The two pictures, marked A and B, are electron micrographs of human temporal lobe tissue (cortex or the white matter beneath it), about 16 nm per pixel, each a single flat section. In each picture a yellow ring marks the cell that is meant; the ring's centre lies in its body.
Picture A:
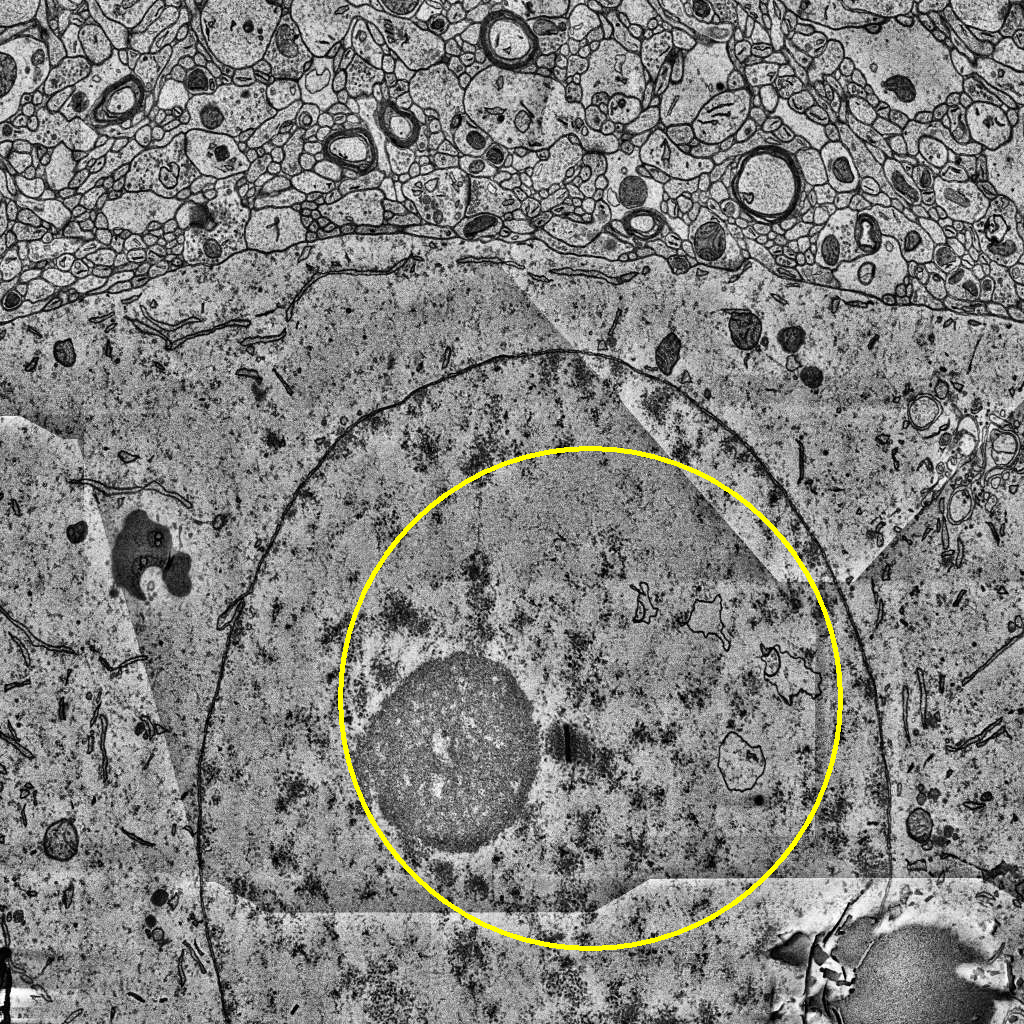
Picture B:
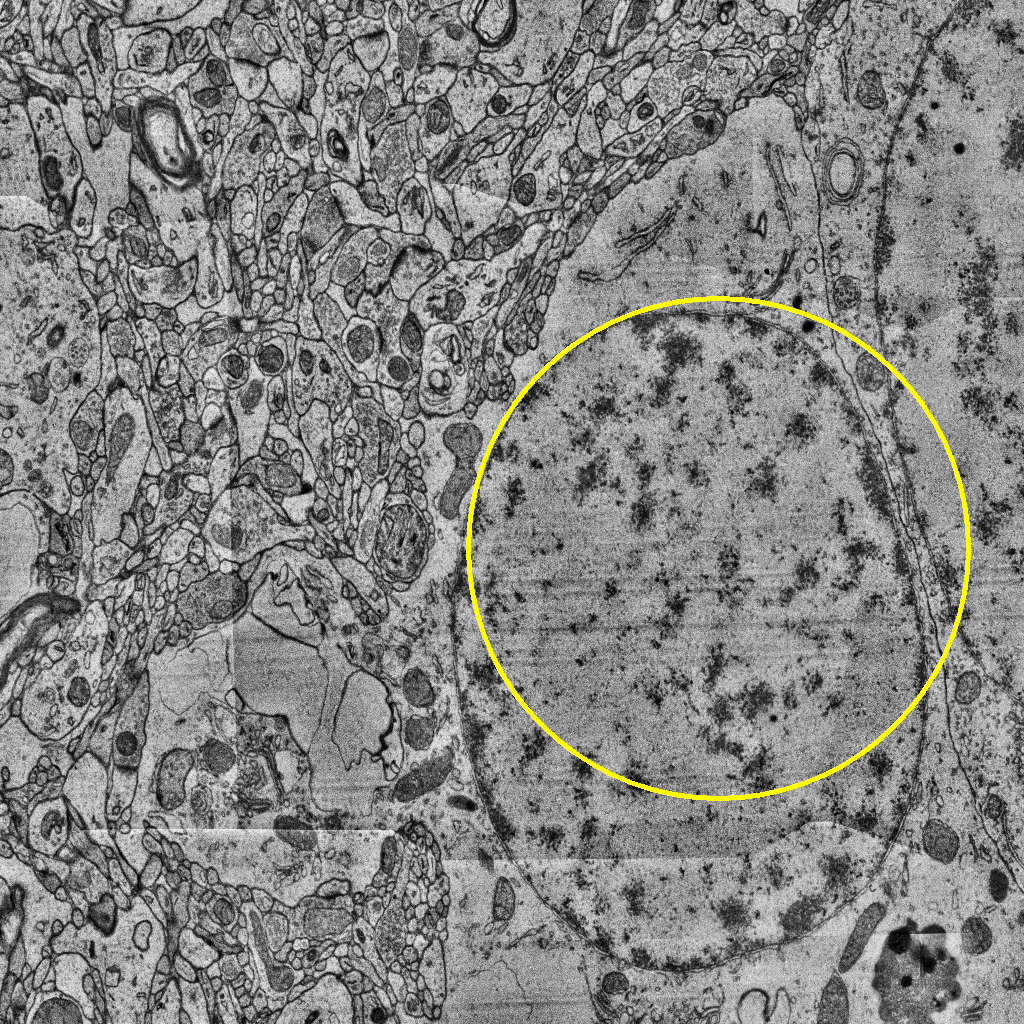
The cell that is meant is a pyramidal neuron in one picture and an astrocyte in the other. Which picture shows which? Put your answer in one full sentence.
Picture A shows a pyramidal neuron and picture B shows an astrocyte.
